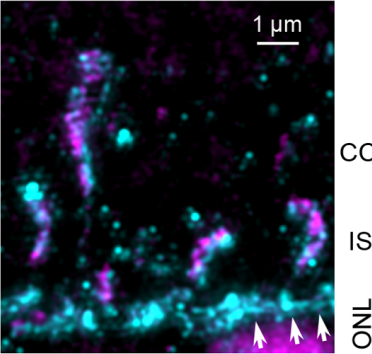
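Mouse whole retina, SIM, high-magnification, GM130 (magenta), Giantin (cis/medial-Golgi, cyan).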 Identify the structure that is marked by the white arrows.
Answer: Outer limiting membrane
